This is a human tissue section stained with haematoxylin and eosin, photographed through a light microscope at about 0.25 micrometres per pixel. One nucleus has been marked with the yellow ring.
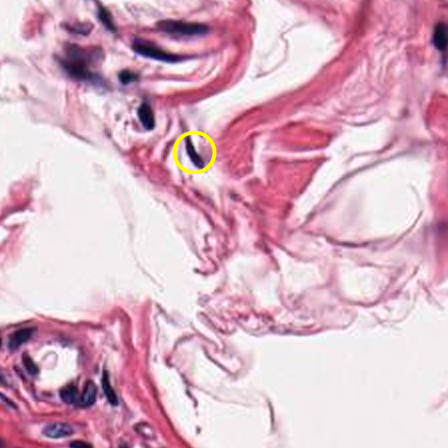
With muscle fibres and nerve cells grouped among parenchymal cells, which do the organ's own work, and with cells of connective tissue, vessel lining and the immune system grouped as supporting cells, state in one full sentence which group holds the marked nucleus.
Identified as a supporting cell is the cell holding the marked nucleus.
